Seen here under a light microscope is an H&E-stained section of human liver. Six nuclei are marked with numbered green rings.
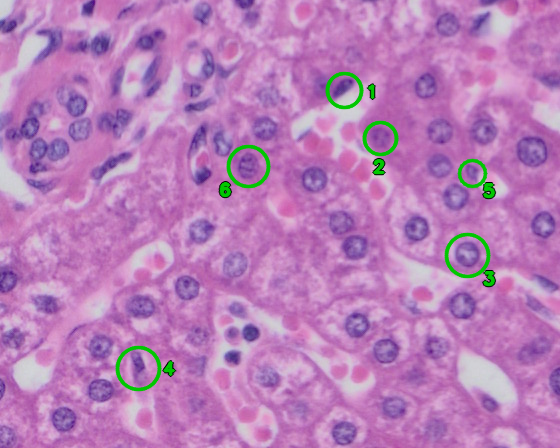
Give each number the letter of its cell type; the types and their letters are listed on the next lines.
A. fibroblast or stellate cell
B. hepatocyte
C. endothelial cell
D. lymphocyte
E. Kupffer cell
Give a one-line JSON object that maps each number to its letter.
{"1": "A", "2": "B", "3": "B", "4": "E", "5": "A", "6": "B"}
